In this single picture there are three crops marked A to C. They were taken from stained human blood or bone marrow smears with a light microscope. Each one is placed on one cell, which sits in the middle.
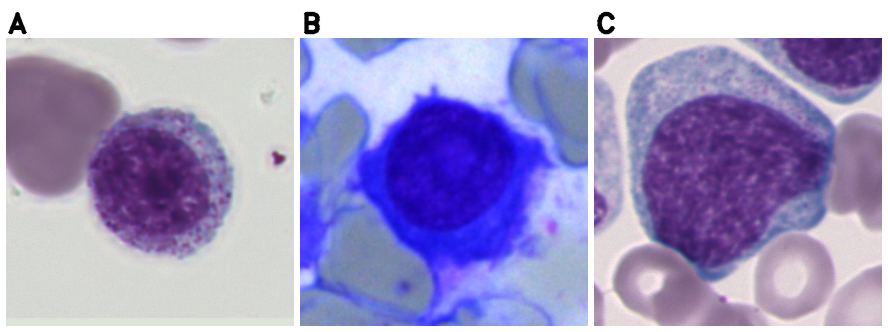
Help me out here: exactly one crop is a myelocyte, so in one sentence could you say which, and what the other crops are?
For crop A the cell is a myelocyte, while crop B is a plasma cell and crop C is a promyelocyte.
